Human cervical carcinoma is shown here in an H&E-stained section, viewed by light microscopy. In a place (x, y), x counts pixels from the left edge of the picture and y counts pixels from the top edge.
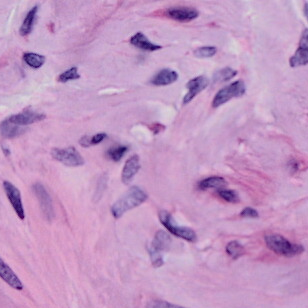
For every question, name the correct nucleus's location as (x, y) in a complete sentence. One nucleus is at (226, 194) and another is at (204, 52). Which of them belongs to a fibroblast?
The nucleus belonging to a fibroblast is the one at (204, 52).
